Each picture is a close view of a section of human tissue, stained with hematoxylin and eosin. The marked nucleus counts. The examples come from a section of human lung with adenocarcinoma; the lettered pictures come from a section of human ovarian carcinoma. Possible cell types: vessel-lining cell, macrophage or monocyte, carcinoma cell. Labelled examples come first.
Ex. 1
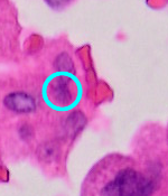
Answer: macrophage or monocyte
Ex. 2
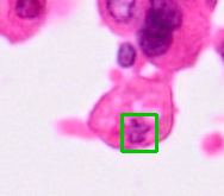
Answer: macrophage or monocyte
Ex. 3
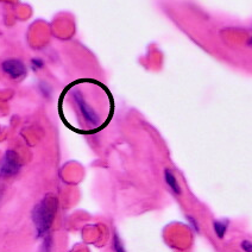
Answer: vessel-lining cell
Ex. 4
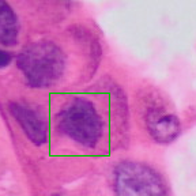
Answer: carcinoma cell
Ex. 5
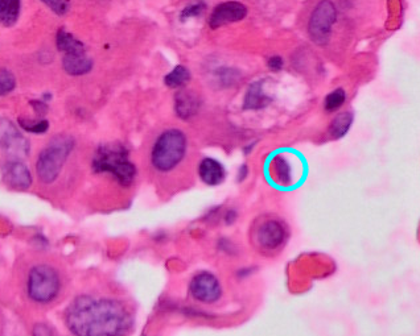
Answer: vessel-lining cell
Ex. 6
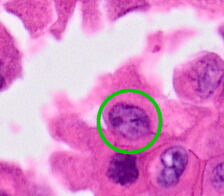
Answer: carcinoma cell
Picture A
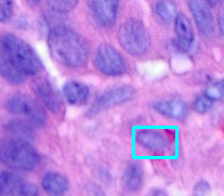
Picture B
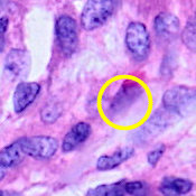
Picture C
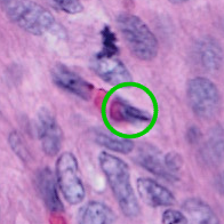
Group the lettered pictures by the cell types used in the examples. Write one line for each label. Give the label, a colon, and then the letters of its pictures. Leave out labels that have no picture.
vessel-lining cell: A, B, C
